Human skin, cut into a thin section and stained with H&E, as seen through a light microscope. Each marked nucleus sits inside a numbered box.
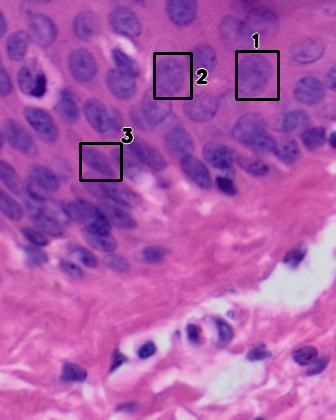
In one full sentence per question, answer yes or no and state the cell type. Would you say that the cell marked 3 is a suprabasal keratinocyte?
No, cell 3 is a basal keratinocyte and should not be called a suprabasal keratinocyte.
